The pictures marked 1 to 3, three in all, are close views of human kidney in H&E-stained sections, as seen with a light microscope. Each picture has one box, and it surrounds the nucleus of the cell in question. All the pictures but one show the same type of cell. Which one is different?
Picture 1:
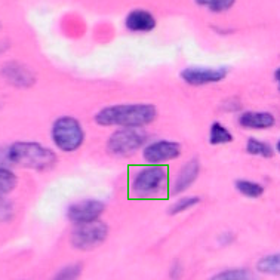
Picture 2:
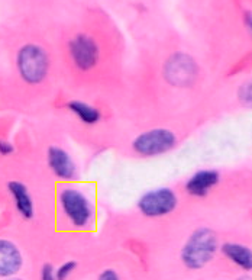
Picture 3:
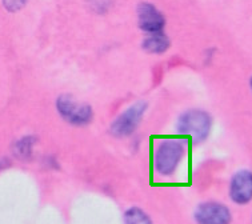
1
